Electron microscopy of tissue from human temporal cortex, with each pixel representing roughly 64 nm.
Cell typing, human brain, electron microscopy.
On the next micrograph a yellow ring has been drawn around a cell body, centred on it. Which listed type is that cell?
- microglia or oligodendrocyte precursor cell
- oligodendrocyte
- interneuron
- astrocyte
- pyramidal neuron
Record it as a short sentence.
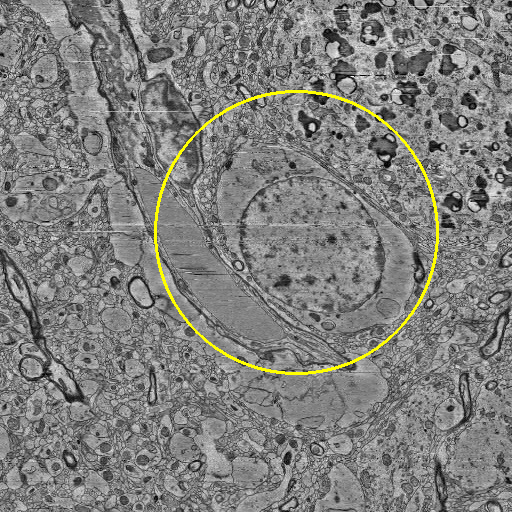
The cell body in the ring's centre belongs to an astrocyte.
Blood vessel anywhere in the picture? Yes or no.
Yes.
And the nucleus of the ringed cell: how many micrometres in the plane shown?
Approximately 10 x 8 micrometres in this plane.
